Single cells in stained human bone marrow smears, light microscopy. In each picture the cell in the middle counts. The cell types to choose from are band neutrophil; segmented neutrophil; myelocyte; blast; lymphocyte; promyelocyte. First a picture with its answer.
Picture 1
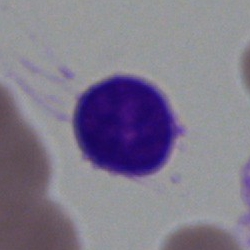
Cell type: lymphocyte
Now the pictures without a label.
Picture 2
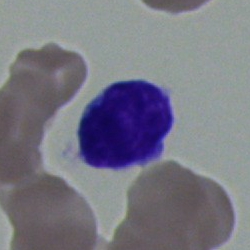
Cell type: lymphocyte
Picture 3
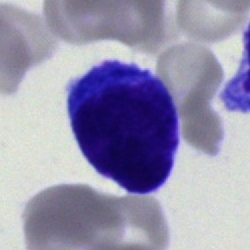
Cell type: blast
